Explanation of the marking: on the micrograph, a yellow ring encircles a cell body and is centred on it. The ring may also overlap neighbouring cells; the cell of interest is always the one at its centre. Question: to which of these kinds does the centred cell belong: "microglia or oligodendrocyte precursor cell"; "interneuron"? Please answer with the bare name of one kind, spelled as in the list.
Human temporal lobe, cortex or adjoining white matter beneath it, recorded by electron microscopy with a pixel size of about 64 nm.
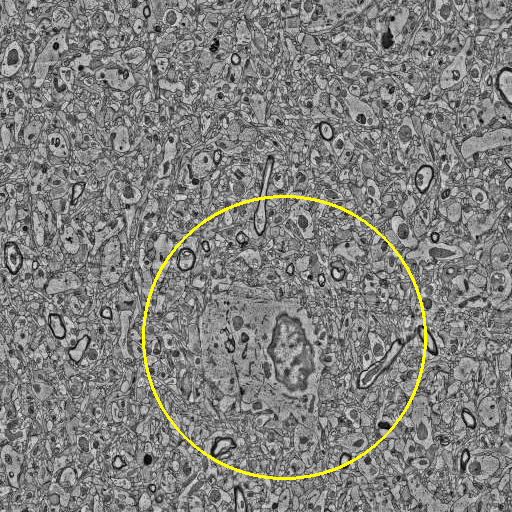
microglia or oligodendrocyte precursor cell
